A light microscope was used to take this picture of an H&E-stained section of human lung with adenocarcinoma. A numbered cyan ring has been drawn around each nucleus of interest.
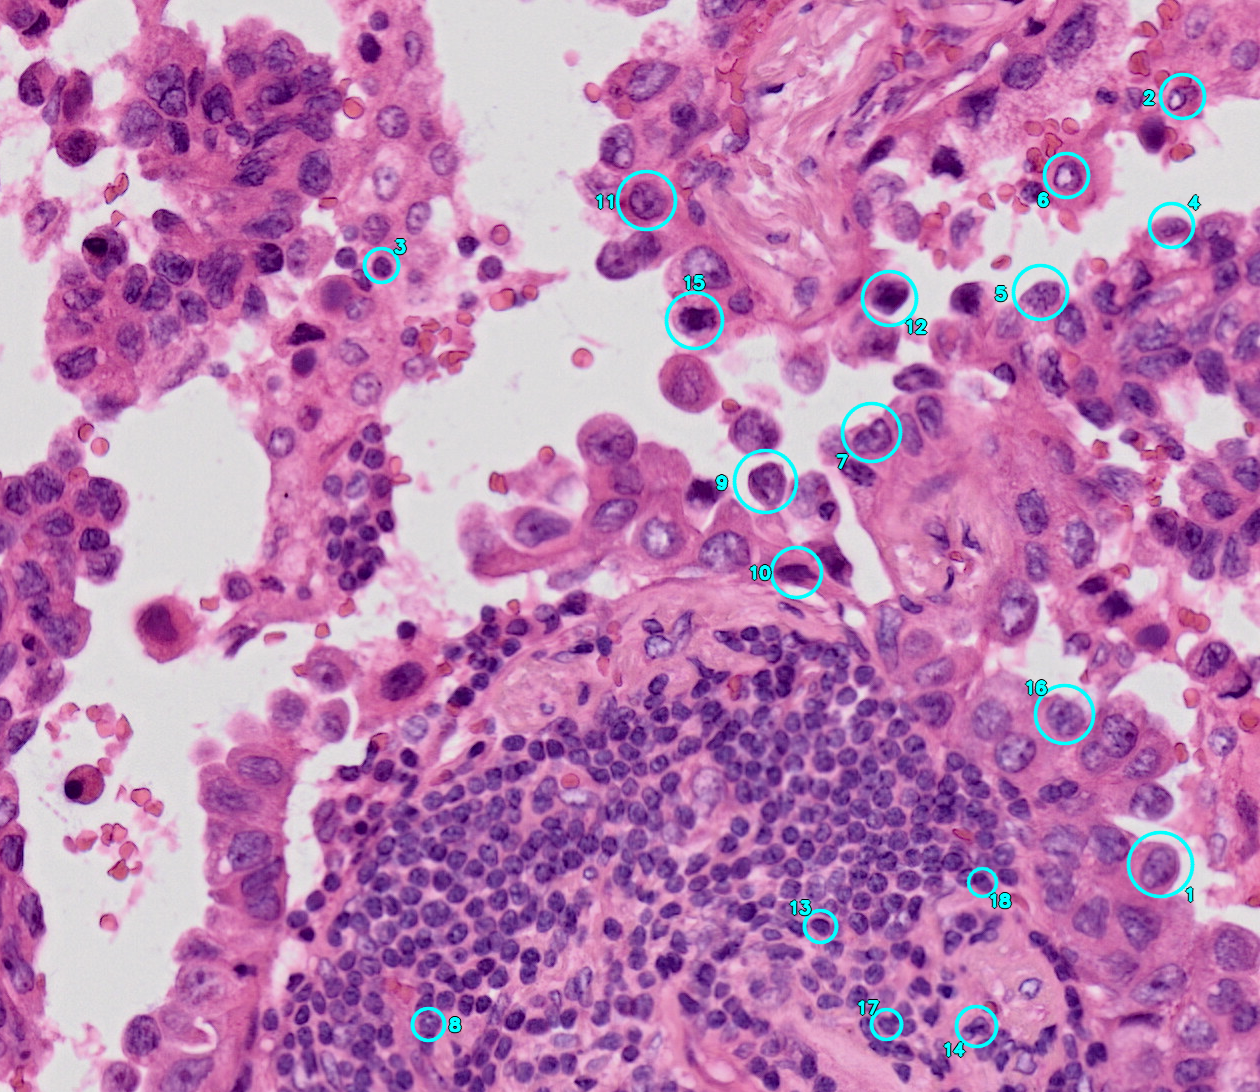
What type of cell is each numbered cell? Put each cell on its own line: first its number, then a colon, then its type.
1: carcinoma cell
2: macrophage or monocyte
3: lymphocyte
4: carcinoma cell
5: carcinoma cell
6: macrophage or monocyte
7: carcinoma cell
8: lymphocyte
9: carcinoma cell
10: carcinoma cell
11: carcinoma cell
12: carcinoma cell
13: lymphocyte
14: lymphocyte
15: carcinoma cell
16: carcinoma cell
17: lymphocyte
18: lymphocyte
